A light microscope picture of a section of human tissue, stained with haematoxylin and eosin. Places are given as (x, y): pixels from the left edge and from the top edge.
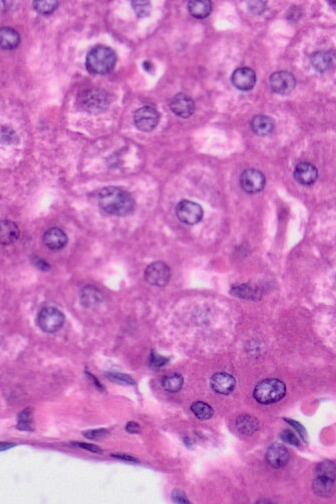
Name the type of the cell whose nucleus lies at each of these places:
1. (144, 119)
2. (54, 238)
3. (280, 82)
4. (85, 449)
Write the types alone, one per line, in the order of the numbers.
hepatocyte
hepatocyte
hepatocyte
fibroblast or stellate cell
